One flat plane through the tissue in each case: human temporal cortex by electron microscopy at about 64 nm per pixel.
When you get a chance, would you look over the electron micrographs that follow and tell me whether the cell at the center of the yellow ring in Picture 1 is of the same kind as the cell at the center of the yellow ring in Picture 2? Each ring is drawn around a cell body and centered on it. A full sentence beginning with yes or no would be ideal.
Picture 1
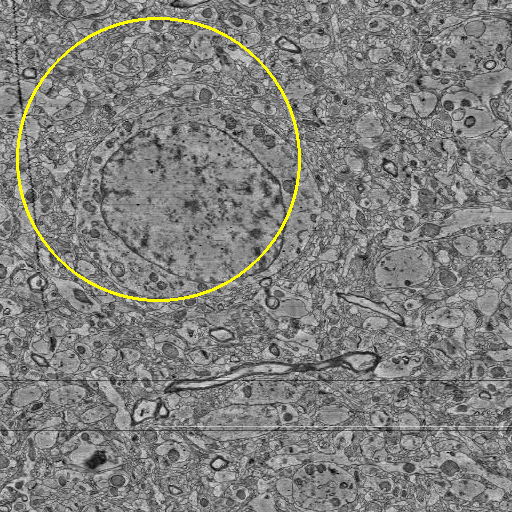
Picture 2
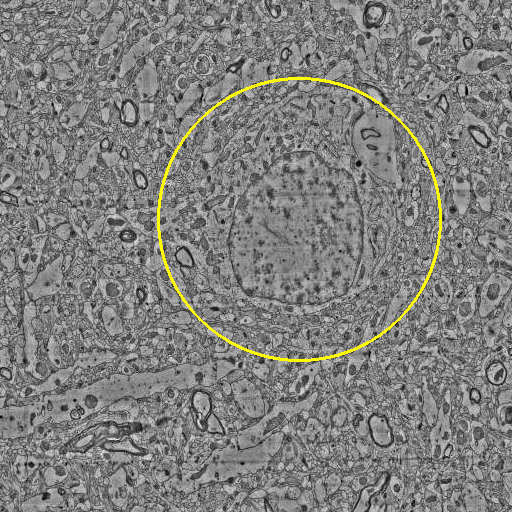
No, they are two kinds of cell.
